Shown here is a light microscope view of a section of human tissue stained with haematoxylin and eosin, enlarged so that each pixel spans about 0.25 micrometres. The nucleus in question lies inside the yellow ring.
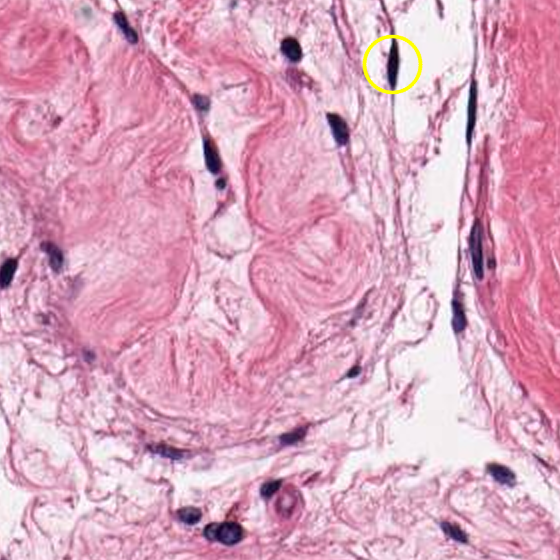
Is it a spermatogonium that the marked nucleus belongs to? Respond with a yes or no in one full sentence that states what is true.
No, the marked nucleus has its place in a supporting cell rather than in a spermatogonium.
